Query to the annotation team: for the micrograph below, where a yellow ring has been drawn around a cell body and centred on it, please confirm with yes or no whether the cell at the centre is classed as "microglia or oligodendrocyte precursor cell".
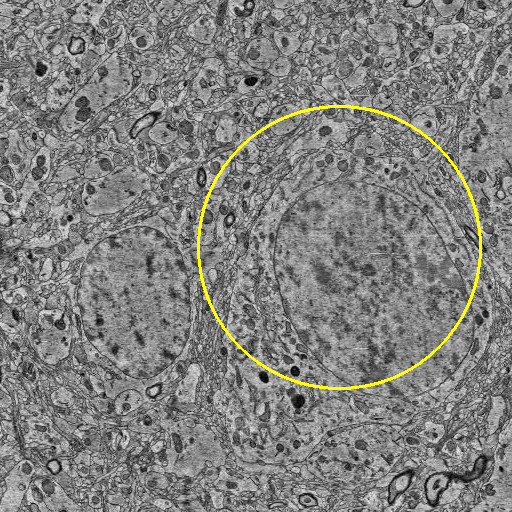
No, it belongs to another class.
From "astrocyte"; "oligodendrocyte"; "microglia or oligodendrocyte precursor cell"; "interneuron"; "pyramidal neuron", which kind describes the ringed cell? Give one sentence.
The ring holds an interneuron at its centre.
